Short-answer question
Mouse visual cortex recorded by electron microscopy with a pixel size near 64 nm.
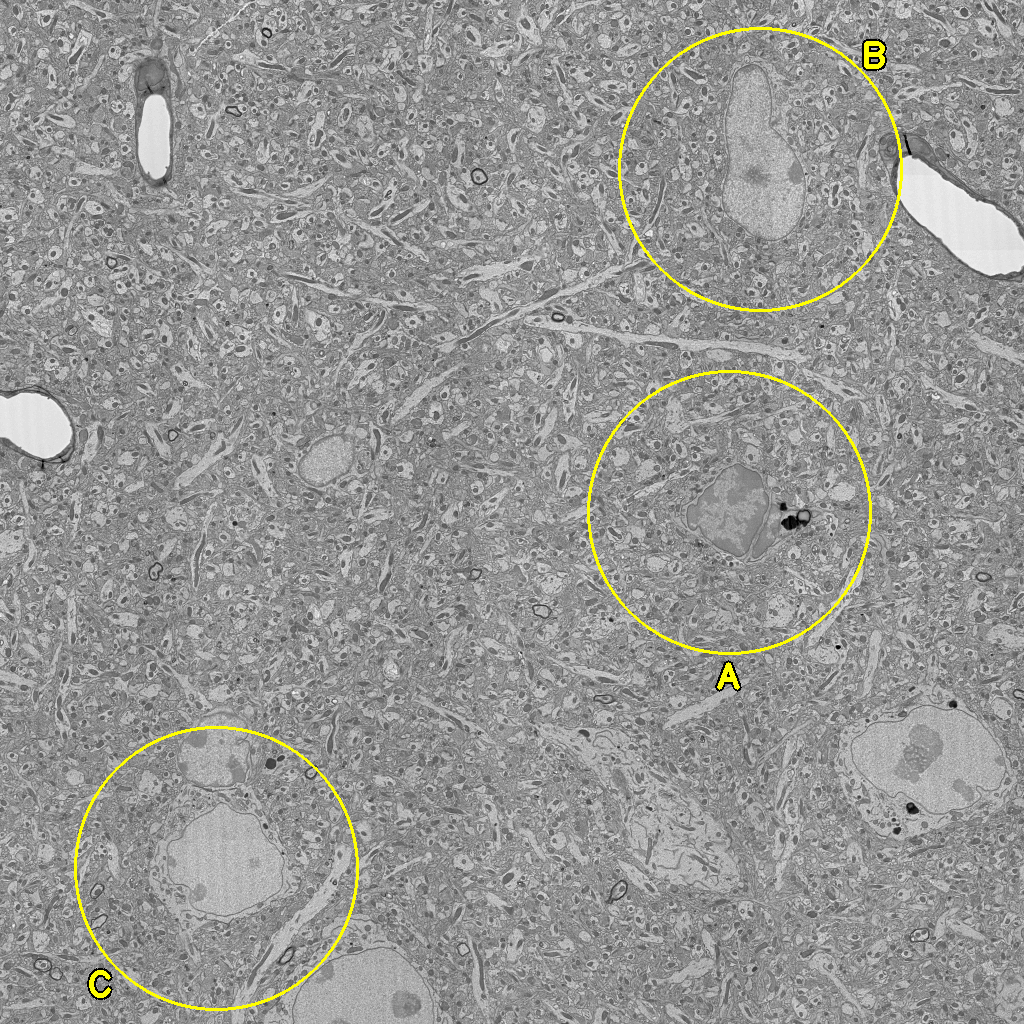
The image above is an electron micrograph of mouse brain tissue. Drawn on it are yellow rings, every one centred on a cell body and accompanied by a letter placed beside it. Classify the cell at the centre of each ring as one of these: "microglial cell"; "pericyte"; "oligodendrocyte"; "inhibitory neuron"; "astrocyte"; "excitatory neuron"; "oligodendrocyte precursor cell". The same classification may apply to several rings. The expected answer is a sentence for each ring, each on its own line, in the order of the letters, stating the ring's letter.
The cell at ring A is classified as a microglial cell.
The cell at ring B is classified as an astrocyte.
The cell at ring C is classified as an excitatory neuron.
